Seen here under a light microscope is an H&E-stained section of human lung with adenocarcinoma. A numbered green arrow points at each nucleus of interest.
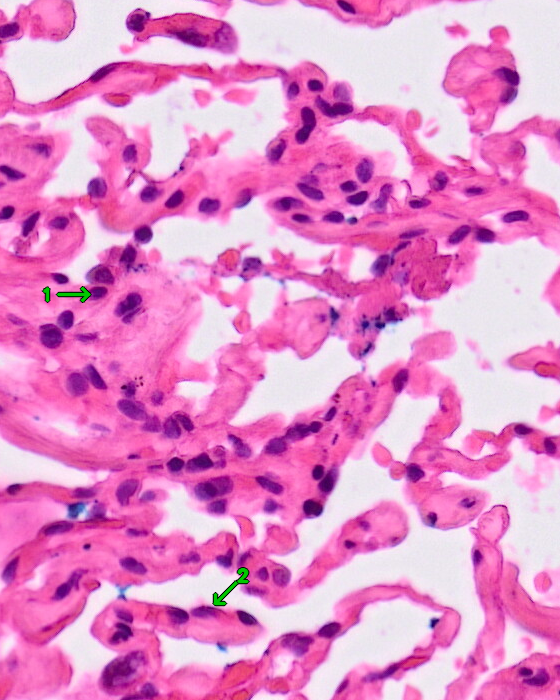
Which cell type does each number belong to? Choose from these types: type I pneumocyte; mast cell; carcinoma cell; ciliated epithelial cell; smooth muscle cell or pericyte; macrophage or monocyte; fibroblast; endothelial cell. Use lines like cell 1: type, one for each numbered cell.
cell 1: mast cell
cell 2: type I pneumocyte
